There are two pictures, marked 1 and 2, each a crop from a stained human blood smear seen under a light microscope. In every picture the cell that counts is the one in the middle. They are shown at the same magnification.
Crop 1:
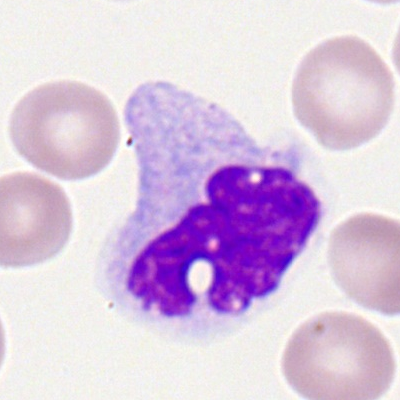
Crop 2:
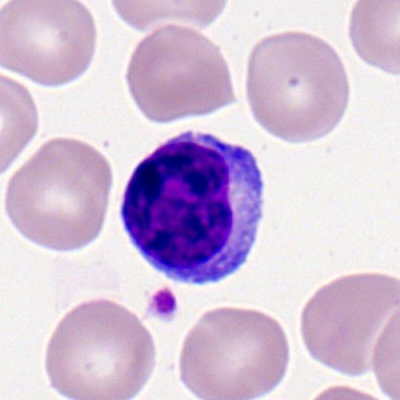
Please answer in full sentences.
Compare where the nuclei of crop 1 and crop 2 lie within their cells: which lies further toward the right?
The nucleus in crop 1 lies further toward the right of its cell.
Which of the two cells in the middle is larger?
Crop 1 holds the larger cell; it covers about 2 times the area of the cell in crop 2.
